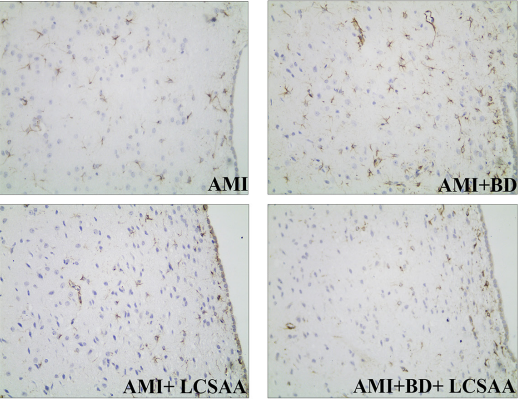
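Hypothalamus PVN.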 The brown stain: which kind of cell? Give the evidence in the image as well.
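Brown-stained cells have small bodies with several thin radiating processes. The brown cells are scattered among many blue-counterstained nuclei. Brown processes give the cells a star-like shape. That points to this answer: astrocytes.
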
